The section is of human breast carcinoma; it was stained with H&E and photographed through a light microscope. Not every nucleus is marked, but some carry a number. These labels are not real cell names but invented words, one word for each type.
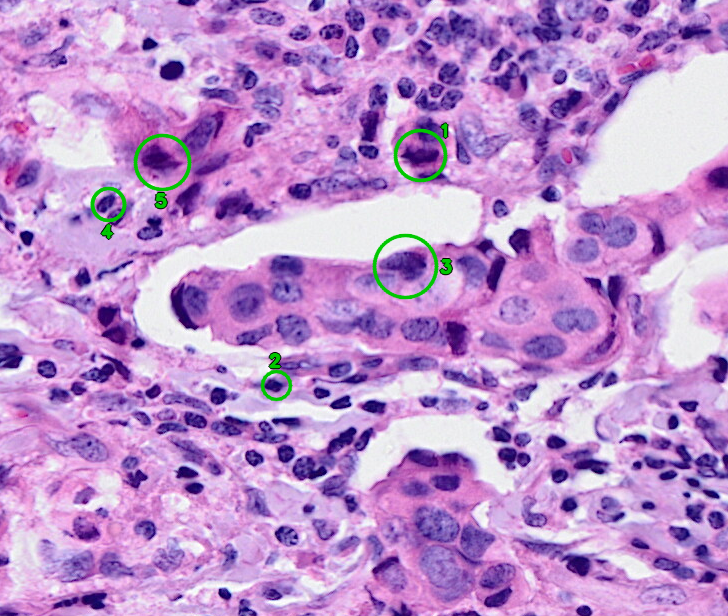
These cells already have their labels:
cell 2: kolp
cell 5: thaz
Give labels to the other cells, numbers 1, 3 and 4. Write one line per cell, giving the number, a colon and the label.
1: thaz
3: thaz
4: kolp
